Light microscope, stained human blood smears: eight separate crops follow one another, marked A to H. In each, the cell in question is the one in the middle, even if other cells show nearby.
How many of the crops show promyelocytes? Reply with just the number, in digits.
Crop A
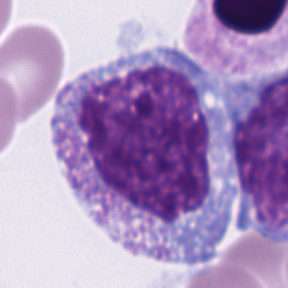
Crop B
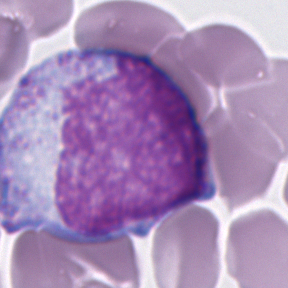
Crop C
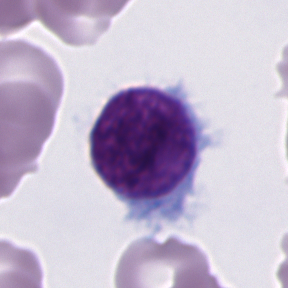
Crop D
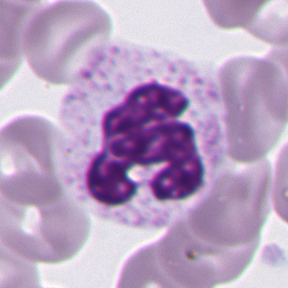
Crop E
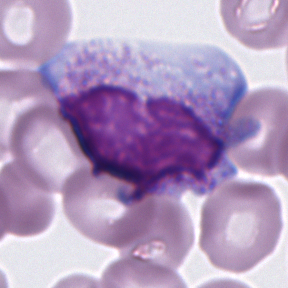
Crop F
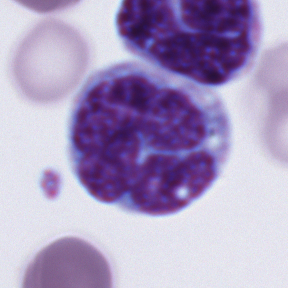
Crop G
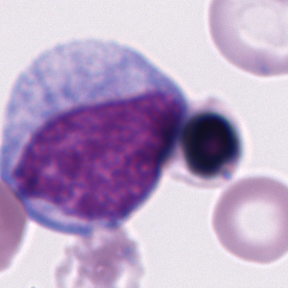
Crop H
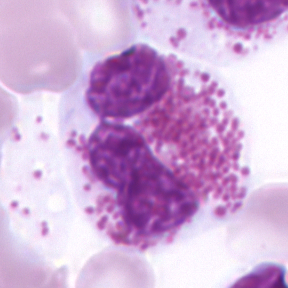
4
